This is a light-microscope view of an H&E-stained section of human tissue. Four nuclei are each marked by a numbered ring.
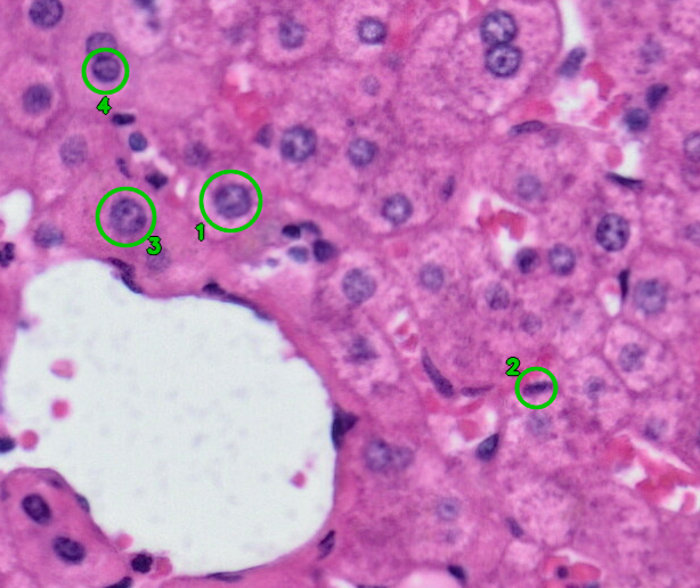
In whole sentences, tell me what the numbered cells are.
Cell 1 is a hepatocyte, cell 2 is an endothelial cell, cell 3 is a hepatocyte and cell 4 is a hepatocyte.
